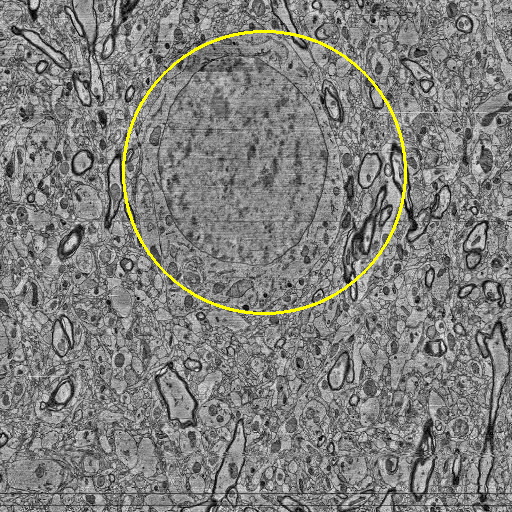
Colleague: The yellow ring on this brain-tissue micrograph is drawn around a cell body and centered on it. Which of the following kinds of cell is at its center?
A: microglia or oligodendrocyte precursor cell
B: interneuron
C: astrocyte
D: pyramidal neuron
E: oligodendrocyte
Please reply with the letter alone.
D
